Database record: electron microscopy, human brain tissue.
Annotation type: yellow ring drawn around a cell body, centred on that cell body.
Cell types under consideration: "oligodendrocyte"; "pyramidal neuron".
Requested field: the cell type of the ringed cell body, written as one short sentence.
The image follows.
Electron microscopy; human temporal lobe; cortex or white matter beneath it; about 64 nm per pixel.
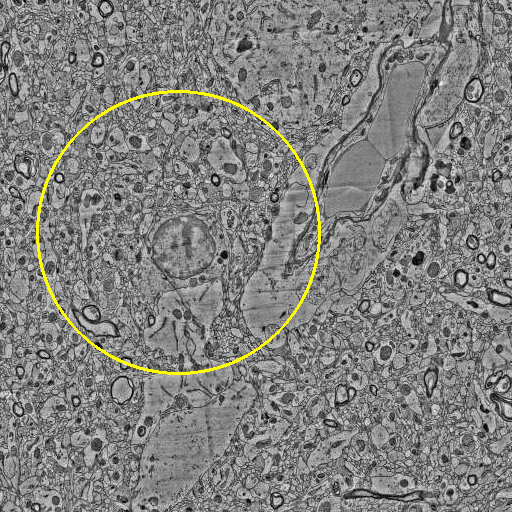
The ringed cell body represents an oligodendrocyte.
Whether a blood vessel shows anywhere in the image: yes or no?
Yes, a vessel appears in the picture.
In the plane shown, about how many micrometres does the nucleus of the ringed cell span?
In this plane, the nucleus of the cell at the centre of the ring is about 4 micrometres across.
